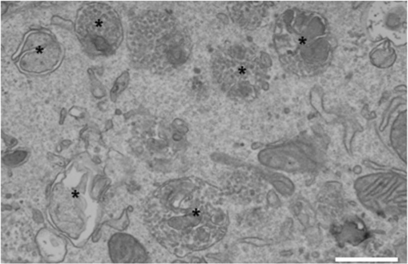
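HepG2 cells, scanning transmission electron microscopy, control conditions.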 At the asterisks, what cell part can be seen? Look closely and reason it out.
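Autophagic vacuoles. Membrane-bound compartments enclosing granular and membranous cytoplasmic material.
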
